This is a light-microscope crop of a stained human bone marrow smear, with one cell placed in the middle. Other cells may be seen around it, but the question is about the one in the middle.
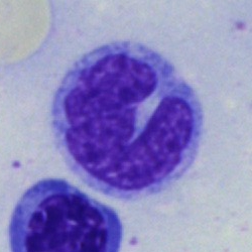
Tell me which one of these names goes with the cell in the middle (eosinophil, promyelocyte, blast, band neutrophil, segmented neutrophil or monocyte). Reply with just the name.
monocyte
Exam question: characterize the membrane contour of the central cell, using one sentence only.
From every side, the cell boundary is smooth and free of projections.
